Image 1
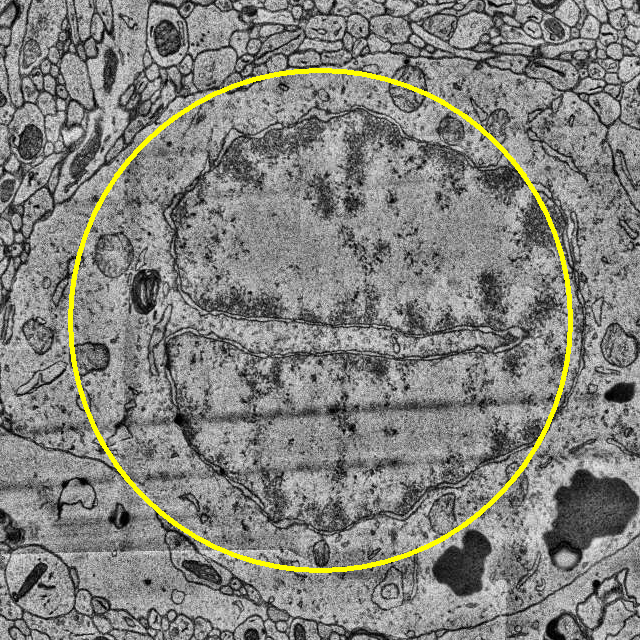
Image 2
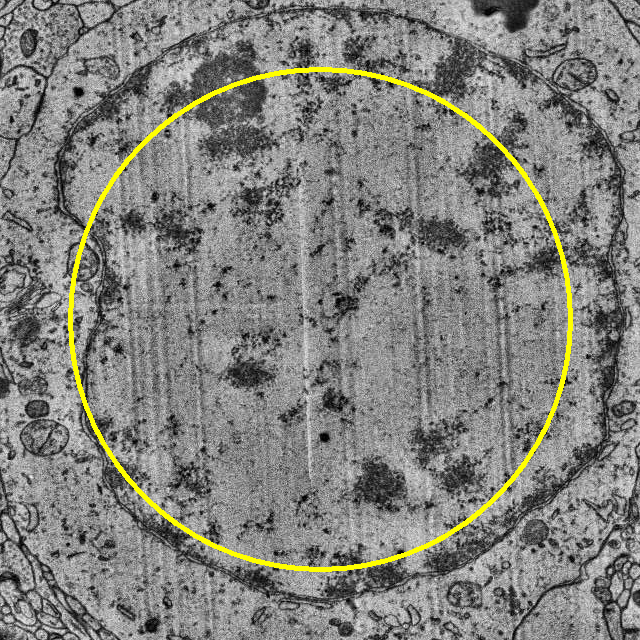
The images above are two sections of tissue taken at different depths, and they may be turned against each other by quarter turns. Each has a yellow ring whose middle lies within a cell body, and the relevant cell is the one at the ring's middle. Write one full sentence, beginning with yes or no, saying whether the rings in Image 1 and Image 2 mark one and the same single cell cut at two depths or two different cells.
Yes, the same cell has been marked in both yellow rings.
